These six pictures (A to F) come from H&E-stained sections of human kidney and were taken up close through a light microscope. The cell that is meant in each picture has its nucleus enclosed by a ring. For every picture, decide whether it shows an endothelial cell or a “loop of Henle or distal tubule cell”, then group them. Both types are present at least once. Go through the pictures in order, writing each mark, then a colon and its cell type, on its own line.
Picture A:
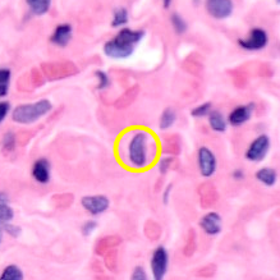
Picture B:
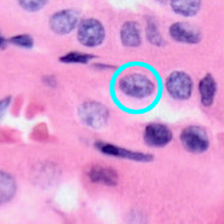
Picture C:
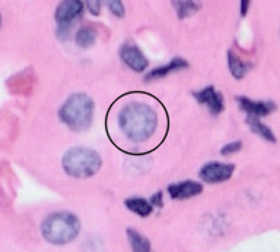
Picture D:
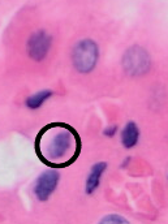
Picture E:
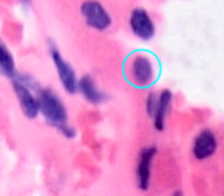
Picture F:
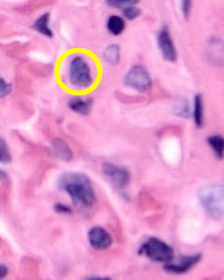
A: endothelial cell
B: loop of Henle or distal tubule cell
C: loop of Henle or distal tubule cell
D: loop of Henle or distal tubule cell
E: loop of Henle or distal tubule cell
F: endothelial cell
